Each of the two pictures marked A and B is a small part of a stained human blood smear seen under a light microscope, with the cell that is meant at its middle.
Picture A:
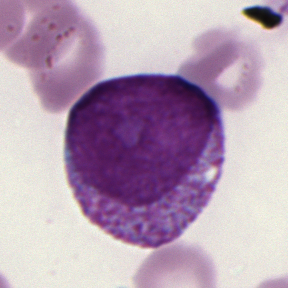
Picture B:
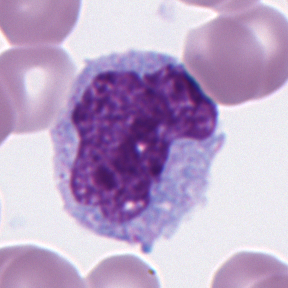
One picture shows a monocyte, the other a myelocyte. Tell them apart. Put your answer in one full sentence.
Picture A is of a myelocyte, and picture B is of a monocyte.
